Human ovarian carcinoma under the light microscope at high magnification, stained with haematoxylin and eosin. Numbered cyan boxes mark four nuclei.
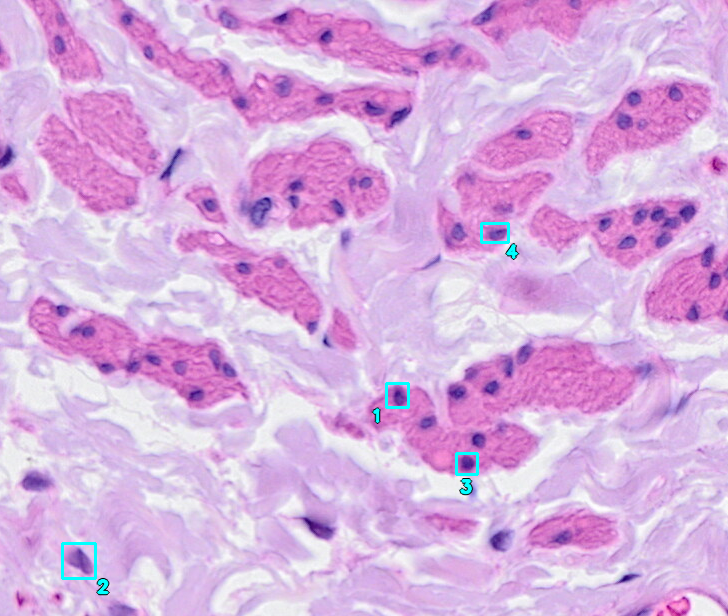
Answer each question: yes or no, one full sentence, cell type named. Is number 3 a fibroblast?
No, it is not a fibroblast that bears number 3 but a smooth muscle cell.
